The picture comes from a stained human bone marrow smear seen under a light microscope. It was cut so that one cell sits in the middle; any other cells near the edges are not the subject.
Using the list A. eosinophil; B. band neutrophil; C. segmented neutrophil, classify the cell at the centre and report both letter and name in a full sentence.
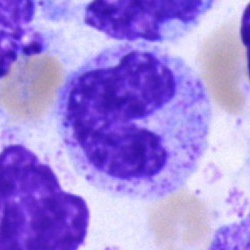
That middle cell is a band neutrophil, and option B is therefore correct.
